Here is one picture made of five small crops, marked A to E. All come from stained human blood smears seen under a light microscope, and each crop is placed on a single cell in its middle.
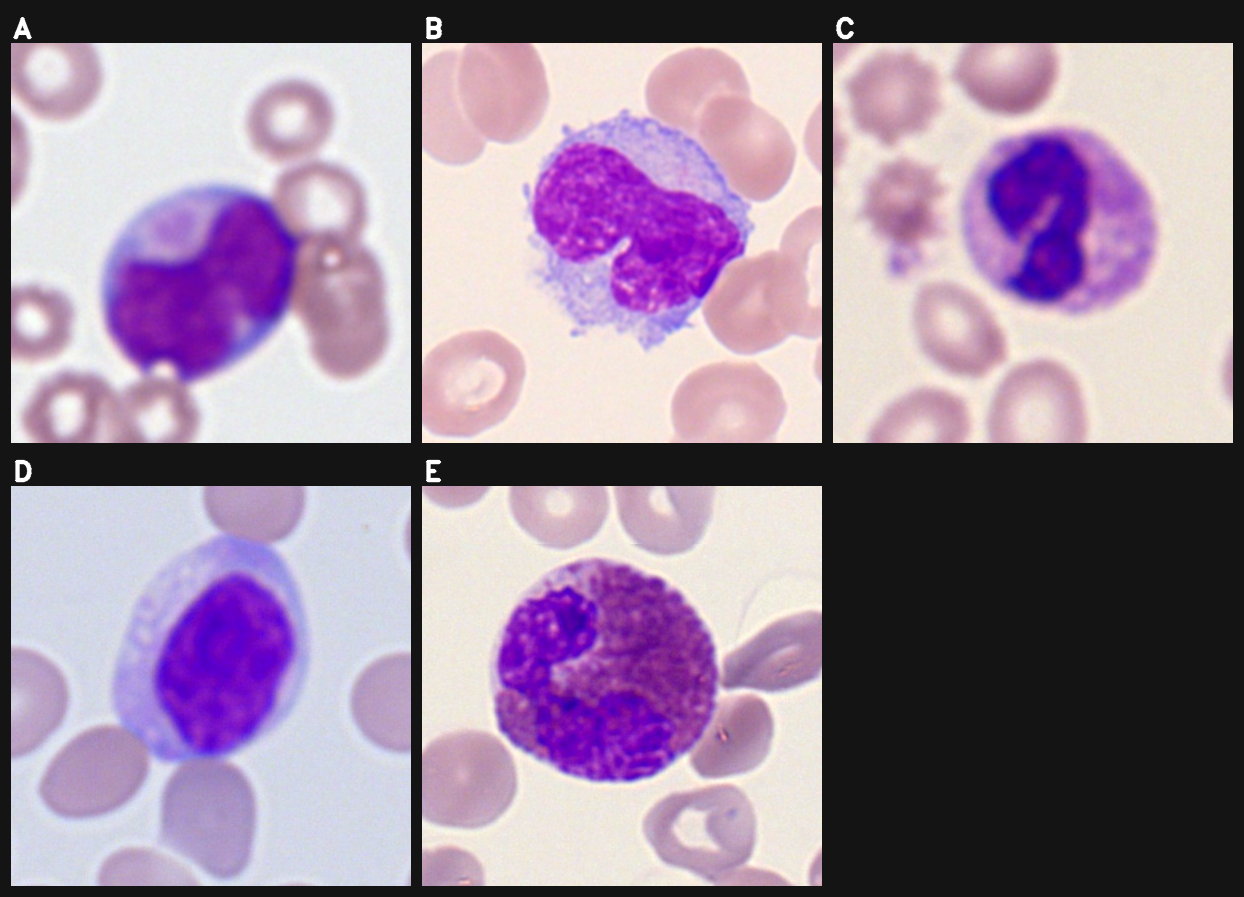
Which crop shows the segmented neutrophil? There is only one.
C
